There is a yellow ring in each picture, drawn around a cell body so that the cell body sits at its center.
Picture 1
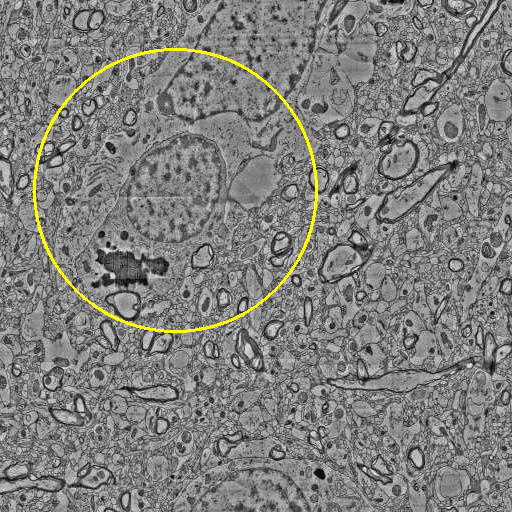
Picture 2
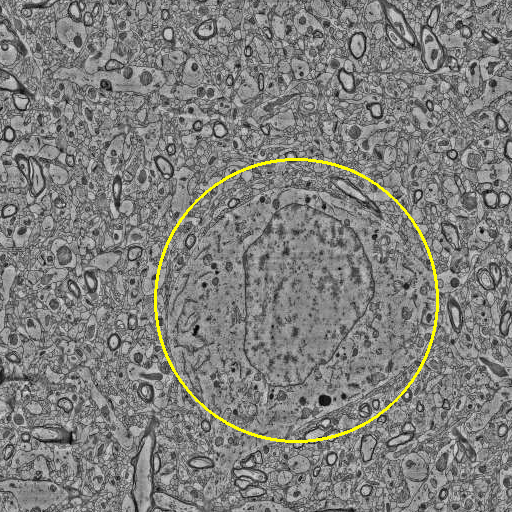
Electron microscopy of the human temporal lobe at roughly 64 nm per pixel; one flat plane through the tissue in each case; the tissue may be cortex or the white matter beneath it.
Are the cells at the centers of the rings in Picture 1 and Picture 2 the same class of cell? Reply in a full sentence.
No, the two cells are two classes of cell.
